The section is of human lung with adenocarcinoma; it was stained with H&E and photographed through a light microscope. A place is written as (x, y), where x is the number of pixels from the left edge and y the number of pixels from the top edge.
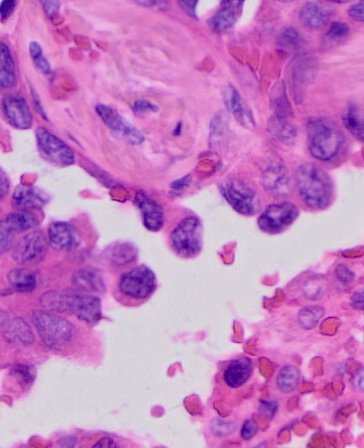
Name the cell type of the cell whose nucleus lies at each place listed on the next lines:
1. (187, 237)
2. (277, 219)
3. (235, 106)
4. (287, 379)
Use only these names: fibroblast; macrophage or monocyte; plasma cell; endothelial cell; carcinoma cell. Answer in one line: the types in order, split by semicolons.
carcinoma cell; carcinoma cell; fibroblast; macrophage or monocyte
